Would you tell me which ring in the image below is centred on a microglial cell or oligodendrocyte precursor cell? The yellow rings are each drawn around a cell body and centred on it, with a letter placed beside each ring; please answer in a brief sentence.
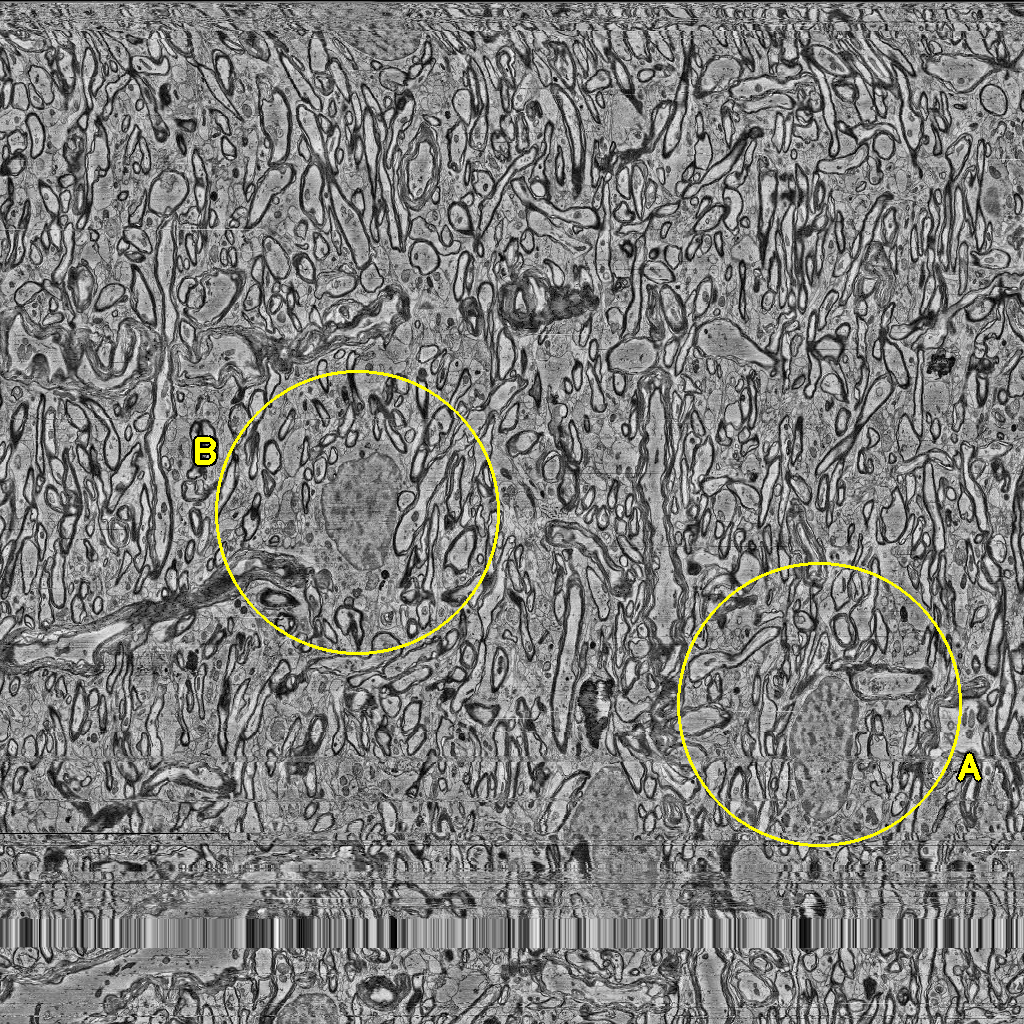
Ring A is centred on it.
